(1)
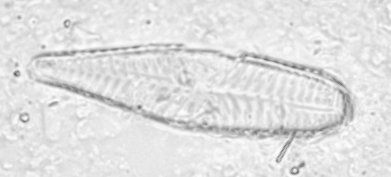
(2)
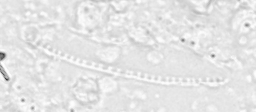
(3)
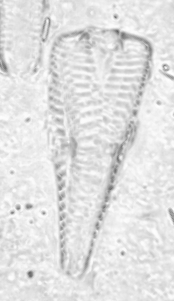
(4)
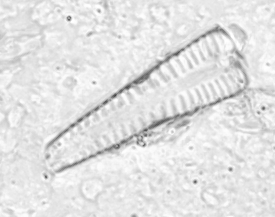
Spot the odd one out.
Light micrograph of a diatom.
Picture 2 (Nitzschia among Gomphonella).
